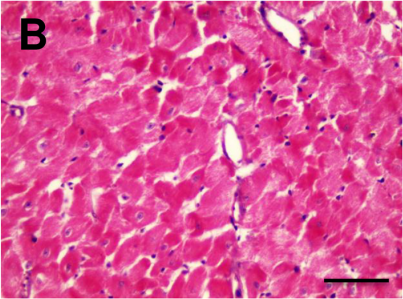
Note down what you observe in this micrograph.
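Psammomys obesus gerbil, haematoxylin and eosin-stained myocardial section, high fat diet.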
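Here the heart muscle is cut mostly across, so the cardiomyocytes appear as pink polygonal profiles of varying size packed side by side. Some profiles show a round, pale central nucleus, while many are cut without one. Small dark nuclei sit in the thin spaces between the muscle cells, and narrow clear vessel lumens cross the field.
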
